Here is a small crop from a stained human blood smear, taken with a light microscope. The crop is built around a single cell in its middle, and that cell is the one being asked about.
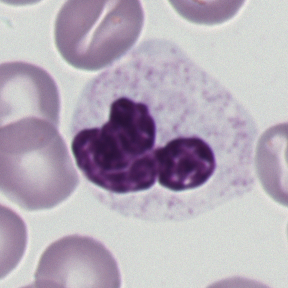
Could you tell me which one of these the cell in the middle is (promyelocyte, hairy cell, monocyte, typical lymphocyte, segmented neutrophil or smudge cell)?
segmented neutrophil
